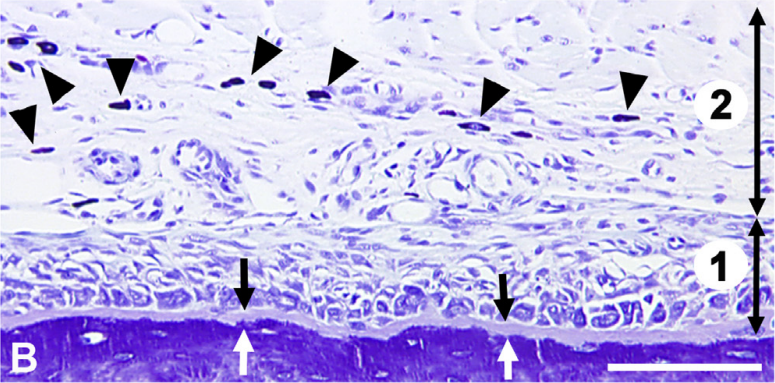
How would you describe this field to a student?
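This is periosteum lying on bone, with the mineralized bone matrix forming a dense, deep purple band at the bottom. Directly on it, across a thin pale osteoid seam, sits a compact layer of plump, closely packed cells with rounded nuclei, the osteogenic compartment. Above this lies a looser fibrous layer with spindle-shaped cells and small vessels, in which scattered small cells stand out by their very dark purple staining; these are mast cells.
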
